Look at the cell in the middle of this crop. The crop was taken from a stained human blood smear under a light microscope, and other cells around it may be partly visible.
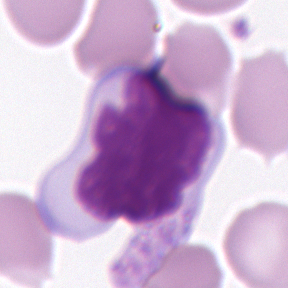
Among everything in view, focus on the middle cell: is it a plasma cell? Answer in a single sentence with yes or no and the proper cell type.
No, the middle cell is not a plasma cell, it being a large granular lymphocyte.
